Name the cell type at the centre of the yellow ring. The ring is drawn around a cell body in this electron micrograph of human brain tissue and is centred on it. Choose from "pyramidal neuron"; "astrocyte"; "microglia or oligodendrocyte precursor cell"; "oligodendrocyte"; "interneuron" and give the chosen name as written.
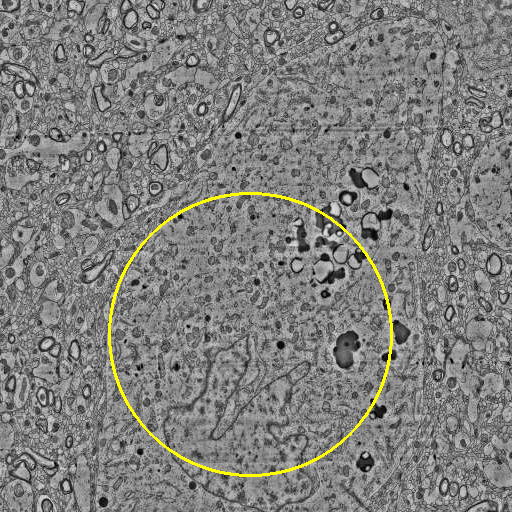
pyramidal neuron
